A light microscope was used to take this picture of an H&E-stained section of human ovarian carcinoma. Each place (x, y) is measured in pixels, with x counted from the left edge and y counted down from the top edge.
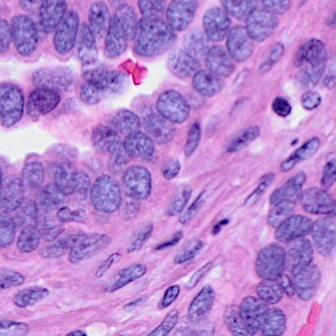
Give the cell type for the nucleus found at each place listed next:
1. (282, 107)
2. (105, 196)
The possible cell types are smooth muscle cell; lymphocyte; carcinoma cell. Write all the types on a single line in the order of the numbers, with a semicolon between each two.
lymphocyte; carcinoma cell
